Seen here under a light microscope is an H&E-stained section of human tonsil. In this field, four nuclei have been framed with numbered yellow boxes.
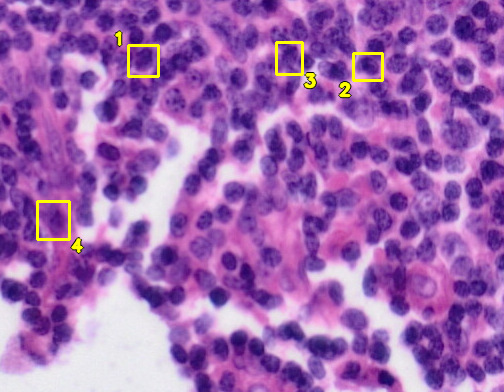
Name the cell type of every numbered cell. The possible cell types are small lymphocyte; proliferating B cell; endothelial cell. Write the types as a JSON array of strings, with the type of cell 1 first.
["small lymphocyte", "small lymphocyte", "small lymphocyte", "endothelial cell"]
